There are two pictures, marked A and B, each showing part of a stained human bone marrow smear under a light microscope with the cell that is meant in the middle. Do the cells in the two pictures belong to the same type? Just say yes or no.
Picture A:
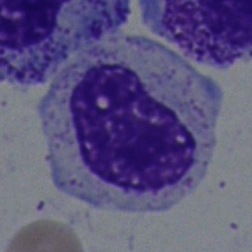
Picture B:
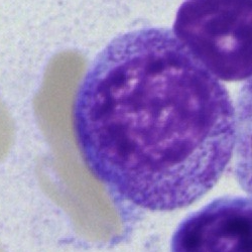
no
